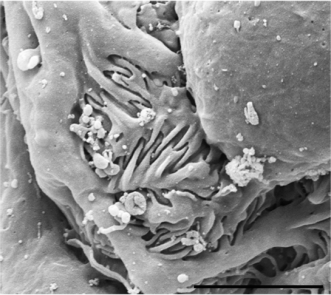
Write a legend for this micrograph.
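Higher-magnification scanning electron micrograph of podocytes over glomerular capillary loops. Large parts of the surface are covered by broad, smooth, flattened cytoplasm in which individual foot processes can no longer be made out, a picture of foot process effacement. Only a small central patch still shows short, irregular interdigitating processes. A few rounded blebs and small particles lie on the cell surfaces.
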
